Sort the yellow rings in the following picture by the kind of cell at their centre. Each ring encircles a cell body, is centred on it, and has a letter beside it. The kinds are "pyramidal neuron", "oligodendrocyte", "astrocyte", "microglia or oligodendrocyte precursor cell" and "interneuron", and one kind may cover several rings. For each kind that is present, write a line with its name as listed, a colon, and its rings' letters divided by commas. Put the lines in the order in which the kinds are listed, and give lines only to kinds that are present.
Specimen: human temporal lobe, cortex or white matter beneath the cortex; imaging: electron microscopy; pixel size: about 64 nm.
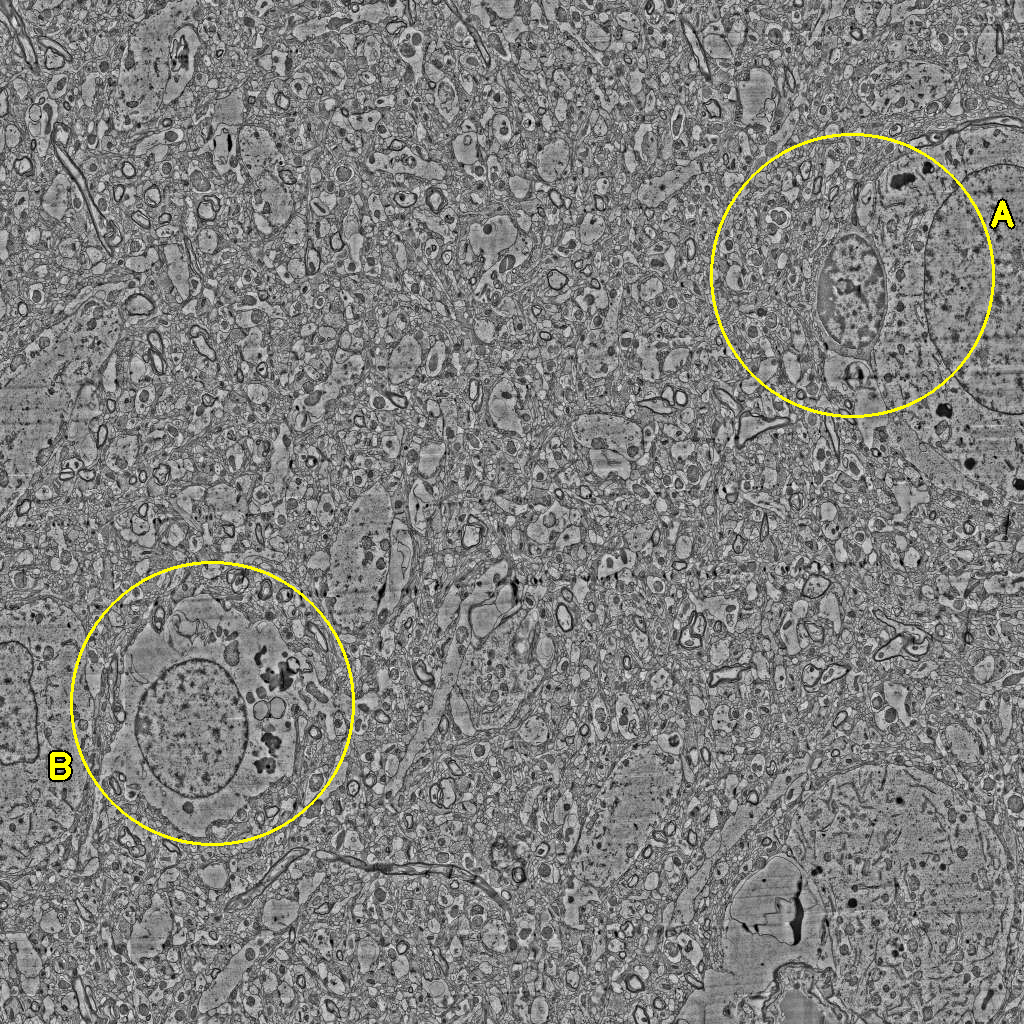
oligodendrocyte: A
astrocyte: B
